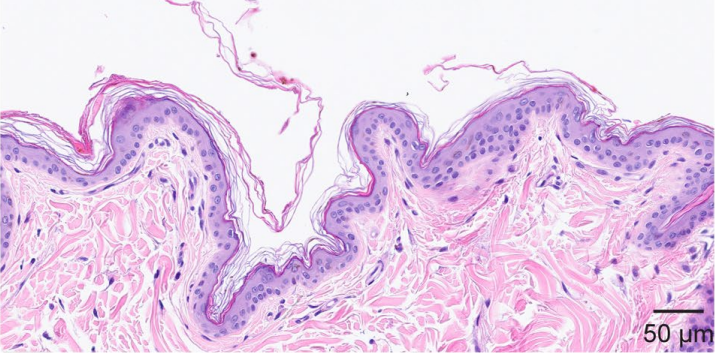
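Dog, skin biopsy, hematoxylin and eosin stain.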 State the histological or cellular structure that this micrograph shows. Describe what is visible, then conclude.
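A thin stratum corneum of loose, wavy pink strands lies over the epidermis. The keratin strands are separated by open spaces in a loose meshwork. That points to this answer: basket‐weave.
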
